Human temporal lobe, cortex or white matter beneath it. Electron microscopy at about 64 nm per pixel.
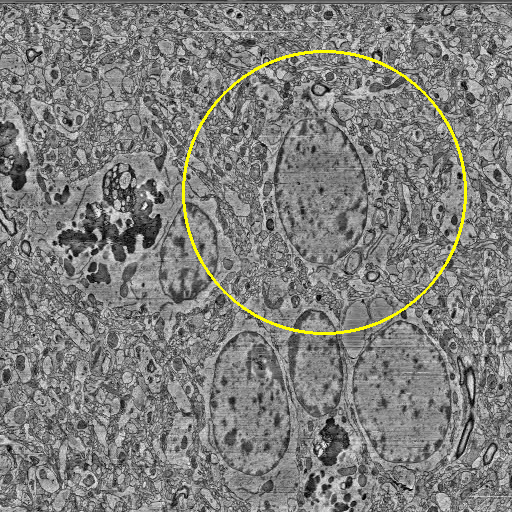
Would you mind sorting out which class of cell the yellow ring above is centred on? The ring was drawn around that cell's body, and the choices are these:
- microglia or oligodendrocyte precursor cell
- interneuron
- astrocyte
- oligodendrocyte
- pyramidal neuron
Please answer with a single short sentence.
This is the cell body of an astrocyte.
